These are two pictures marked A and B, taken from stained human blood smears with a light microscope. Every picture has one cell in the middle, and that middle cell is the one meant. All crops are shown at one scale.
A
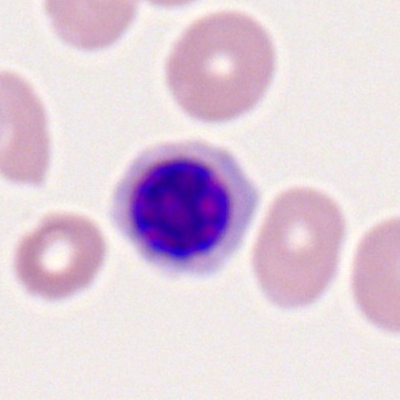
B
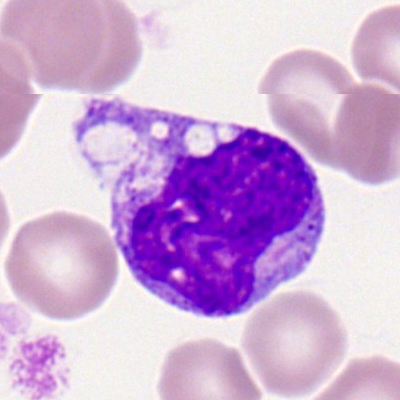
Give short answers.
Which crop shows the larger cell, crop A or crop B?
B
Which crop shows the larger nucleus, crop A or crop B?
B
